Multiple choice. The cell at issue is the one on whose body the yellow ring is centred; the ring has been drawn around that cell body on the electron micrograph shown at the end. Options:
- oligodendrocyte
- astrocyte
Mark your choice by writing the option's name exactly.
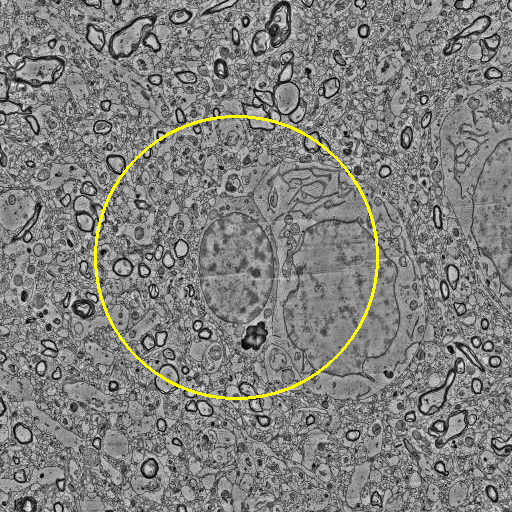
oligodendrocyte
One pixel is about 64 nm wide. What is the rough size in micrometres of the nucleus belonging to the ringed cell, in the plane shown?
Approximately 7 by 5 micrometers in this plane.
